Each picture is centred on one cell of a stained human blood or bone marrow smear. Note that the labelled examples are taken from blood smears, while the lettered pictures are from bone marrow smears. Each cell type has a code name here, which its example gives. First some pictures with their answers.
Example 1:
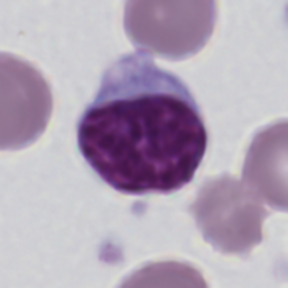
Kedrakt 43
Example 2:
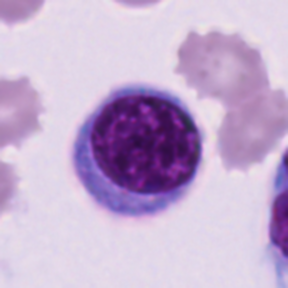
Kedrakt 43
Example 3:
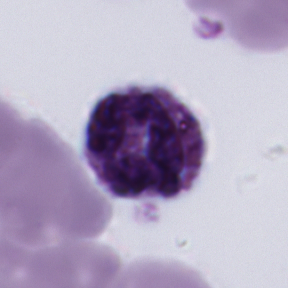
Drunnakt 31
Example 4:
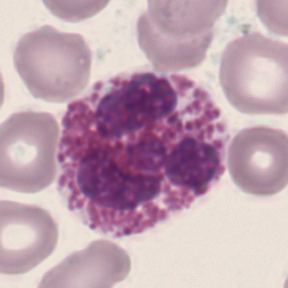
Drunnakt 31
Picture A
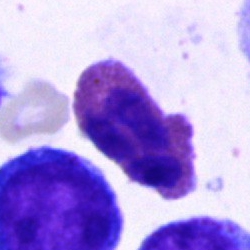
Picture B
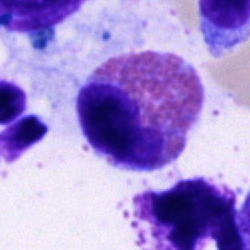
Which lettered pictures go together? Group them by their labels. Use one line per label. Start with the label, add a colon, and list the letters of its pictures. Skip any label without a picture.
Drunnakt 31: A, B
